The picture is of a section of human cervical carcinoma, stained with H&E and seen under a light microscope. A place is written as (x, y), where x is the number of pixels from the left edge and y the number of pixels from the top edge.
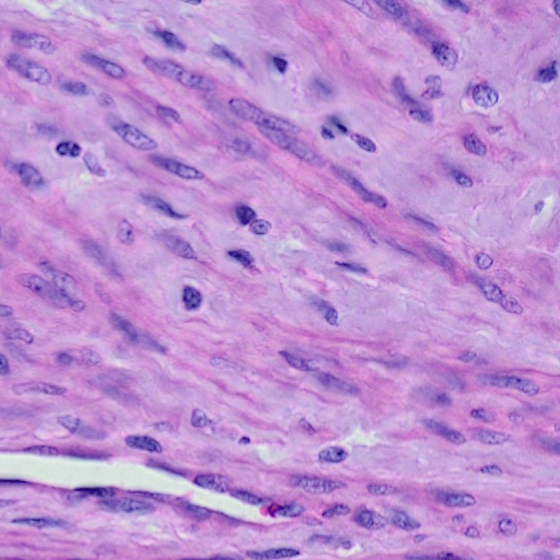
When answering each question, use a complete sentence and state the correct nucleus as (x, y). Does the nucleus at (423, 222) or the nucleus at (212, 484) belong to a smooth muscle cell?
Of the two nuclei, it is the one at (423, 222) that lies within a smooth muscle cell.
